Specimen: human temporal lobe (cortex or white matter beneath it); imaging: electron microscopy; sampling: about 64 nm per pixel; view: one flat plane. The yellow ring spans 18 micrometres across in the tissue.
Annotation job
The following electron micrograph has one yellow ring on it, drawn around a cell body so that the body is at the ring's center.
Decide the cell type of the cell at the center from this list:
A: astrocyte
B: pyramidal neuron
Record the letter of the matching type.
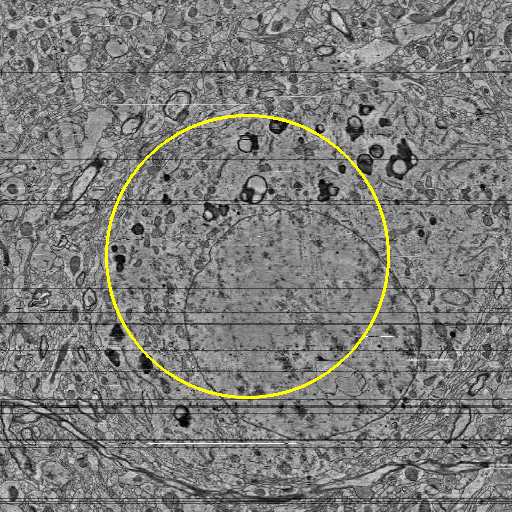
B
